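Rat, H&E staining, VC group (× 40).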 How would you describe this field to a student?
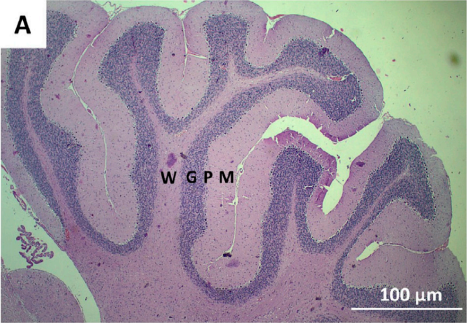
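This low-power view of the cerebellar cortex shows several folia folded around branching cores of pale white matter. Each folium has a wide, pale pink outer molecular layer and a dense, dark-purple granular cell layer beneath it. The white matter core is lightly stained, carries few nuclei, and runs into the centre of each fold.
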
